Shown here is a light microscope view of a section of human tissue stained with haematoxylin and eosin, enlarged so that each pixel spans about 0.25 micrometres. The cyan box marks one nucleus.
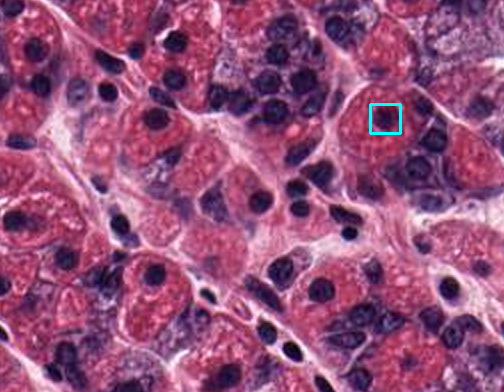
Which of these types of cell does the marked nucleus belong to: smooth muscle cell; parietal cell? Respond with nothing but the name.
parietal cell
